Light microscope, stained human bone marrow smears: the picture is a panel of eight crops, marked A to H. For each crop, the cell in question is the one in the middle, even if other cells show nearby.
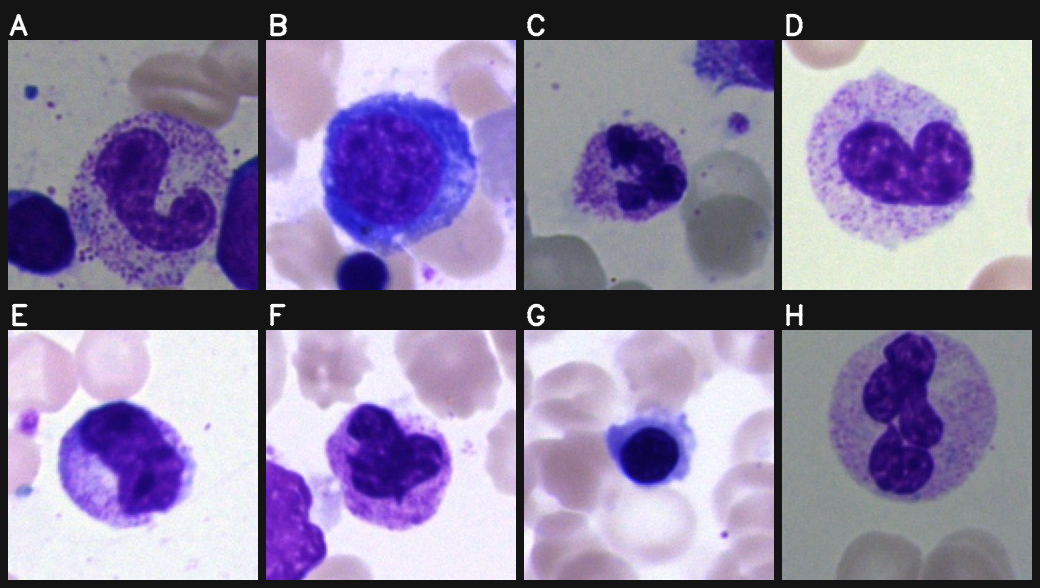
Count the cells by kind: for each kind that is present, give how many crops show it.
segmented neutrophil: 4
normoblast: 2
metamyelocyte: 2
